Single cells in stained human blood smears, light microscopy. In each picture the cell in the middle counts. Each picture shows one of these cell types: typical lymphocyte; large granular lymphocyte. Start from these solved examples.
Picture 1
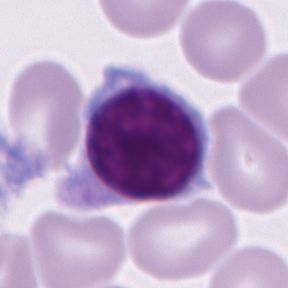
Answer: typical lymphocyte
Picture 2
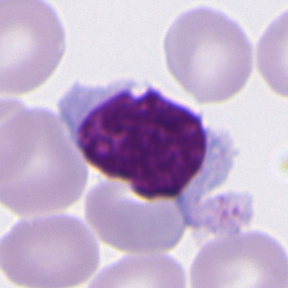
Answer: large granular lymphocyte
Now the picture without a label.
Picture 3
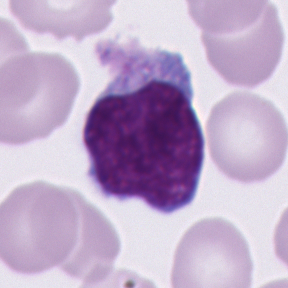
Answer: typical lymphocyte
